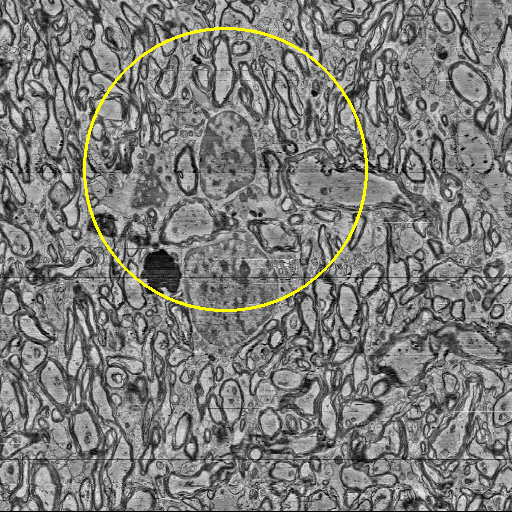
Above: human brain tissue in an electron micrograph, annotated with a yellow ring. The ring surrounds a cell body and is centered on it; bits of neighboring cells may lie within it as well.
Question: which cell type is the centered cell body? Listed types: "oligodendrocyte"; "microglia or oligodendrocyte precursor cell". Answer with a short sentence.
The centered cell body is a microglial cell or oligodendrocyte precursor cell.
